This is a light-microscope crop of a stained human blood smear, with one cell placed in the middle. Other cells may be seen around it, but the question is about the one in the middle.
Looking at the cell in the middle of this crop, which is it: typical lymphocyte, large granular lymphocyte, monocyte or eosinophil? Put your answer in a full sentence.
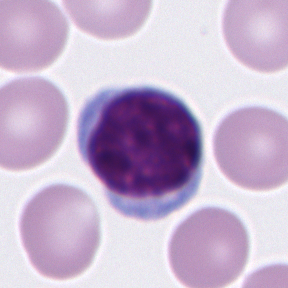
Seen at the centre of the crop is a typical lymphocyte.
